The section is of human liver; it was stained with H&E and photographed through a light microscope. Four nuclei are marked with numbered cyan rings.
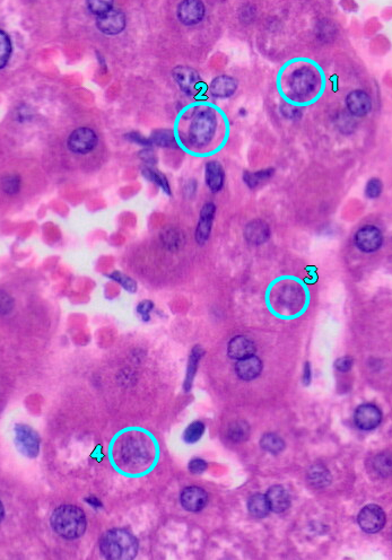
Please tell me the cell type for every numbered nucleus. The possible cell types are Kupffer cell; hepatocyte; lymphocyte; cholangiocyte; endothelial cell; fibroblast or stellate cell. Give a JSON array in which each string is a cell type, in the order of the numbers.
["hepatocyte", "cholangiocyte", "hepatocyte", "hepatocyte"]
